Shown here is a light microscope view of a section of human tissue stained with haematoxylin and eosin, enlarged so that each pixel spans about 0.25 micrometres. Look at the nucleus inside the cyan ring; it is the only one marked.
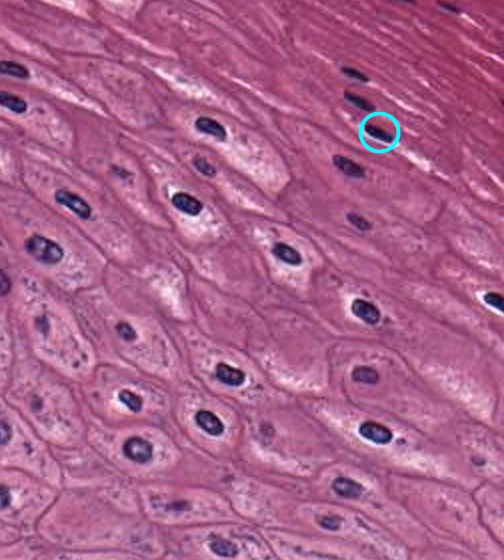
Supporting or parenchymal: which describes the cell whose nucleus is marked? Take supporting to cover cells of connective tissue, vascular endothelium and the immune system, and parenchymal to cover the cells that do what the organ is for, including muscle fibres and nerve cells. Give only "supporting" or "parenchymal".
parenchymal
